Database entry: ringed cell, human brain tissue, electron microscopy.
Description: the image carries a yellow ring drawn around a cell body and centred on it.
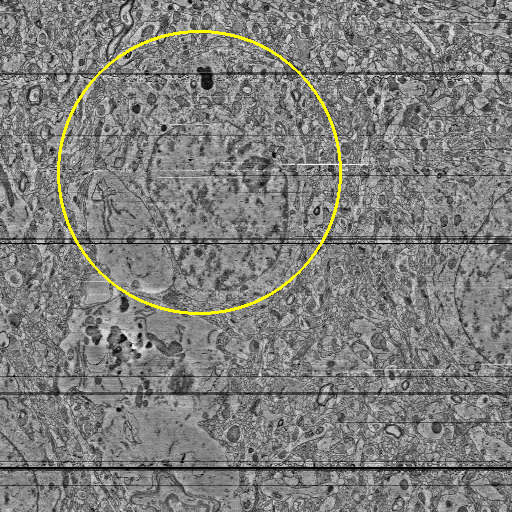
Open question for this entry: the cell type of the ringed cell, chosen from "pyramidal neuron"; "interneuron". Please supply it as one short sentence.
The ringed cell is an interneuron.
